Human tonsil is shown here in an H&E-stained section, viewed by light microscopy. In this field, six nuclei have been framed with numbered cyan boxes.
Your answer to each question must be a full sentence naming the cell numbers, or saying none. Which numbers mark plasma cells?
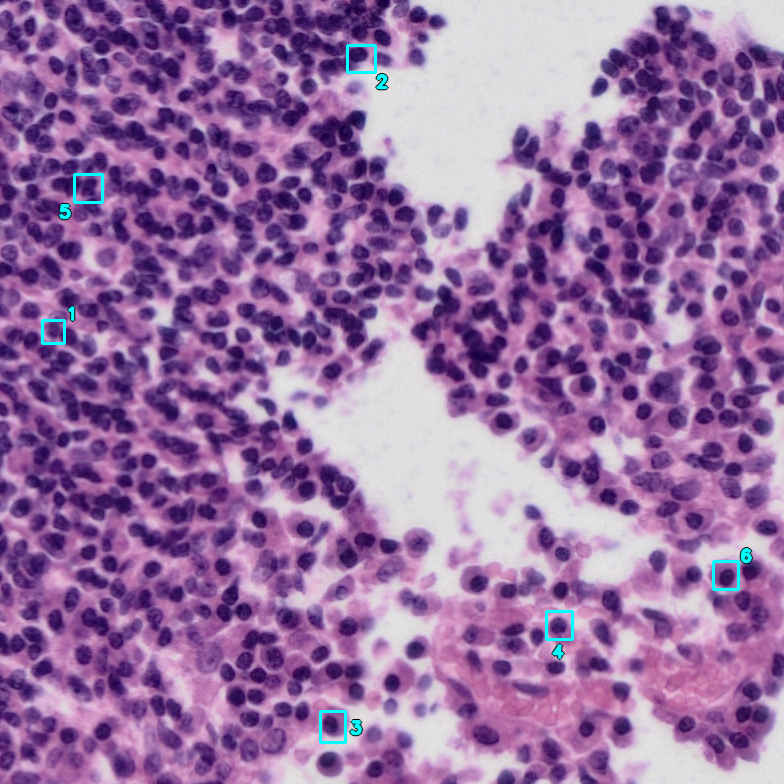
In this section, the cells numbered 3, 4 and 6 are plasma cells.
